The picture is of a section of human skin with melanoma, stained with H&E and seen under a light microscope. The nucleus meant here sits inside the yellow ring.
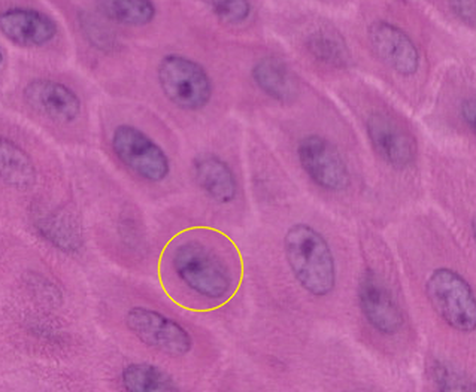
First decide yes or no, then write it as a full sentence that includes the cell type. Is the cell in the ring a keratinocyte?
Yes, calling the cell in the ring a keratinocyte is correct.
